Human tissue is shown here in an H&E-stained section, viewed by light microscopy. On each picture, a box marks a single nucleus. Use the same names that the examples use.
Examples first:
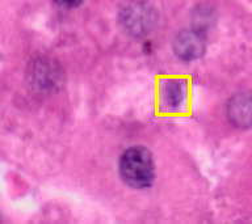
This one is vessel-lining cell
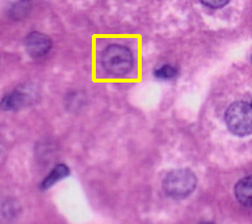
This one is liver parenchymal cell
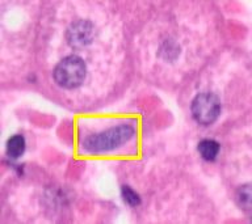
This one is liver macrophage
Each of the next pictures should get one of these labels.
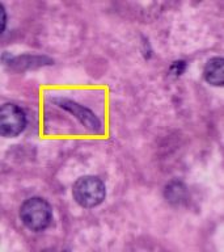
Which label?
liver macrophage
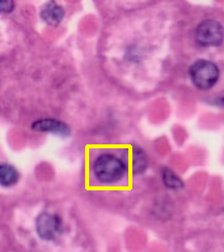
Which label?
liver parenchymal cell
